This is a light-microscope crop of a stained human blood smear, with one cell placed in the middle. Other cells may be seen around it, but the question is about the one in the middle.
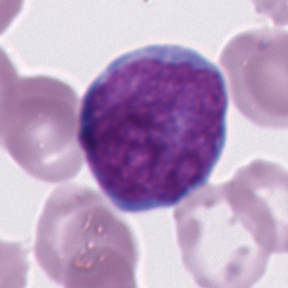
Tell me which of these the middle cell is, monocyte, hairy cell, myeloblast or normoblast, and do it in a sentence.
The middle cell in this particular crop is a myeloblast.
